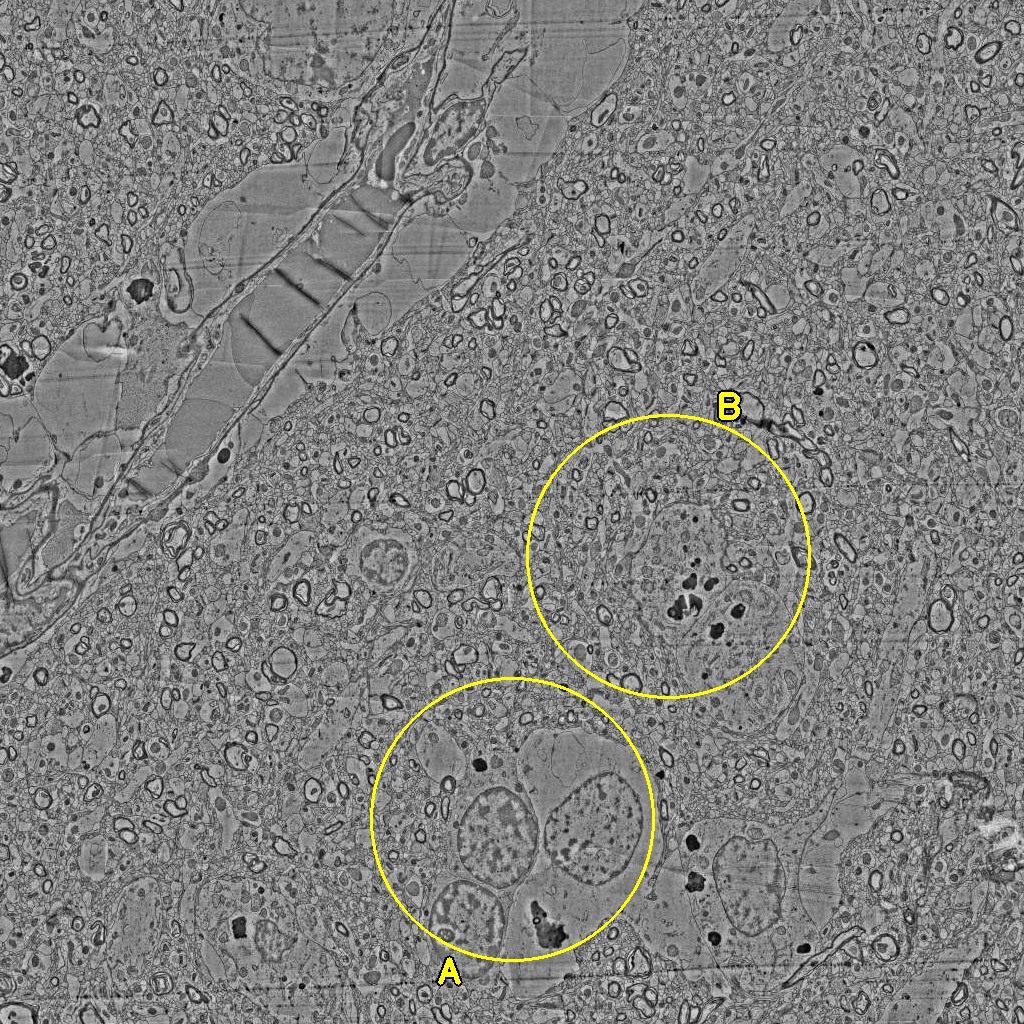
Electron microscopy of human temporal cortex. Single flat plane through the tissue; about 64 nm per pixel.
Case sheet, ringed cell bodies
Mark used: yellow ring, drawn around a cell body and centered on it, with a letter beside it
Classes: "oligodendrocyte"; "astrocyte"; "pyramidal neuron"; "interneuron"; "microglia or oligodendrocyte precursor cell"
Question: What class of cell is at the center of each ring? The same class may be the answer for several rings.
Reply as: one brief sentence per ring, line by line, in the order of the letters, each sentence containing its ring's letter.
Ring A has an oligodendrocyte at its center.
Ring B has a pyramidal neuron at its center.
